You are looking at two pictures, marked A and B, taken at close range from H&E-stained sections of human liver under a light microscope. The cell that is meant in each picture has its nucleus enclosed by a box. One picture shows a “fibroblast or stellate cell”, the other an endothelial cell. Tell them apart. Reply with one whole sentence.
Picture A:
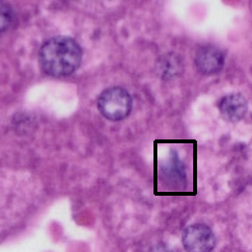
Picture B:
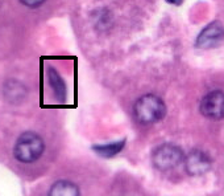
In picture A the cell is an endothelial cell; in picture B, a “fibroblast or stellate cell”.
